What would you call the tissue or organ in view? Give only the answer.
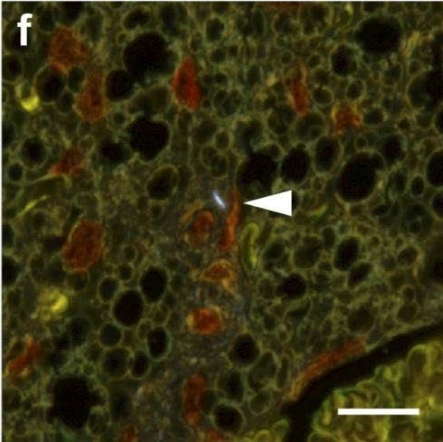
brown fat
